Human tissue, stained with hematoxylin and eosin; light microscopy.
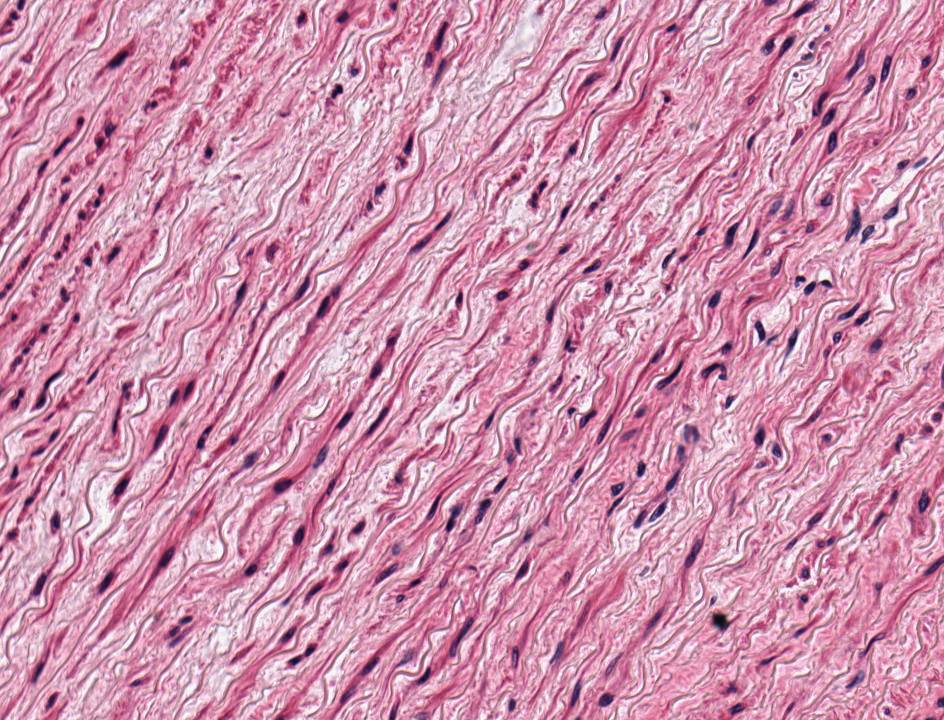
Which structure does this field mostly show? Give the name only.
tunica media of an artery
